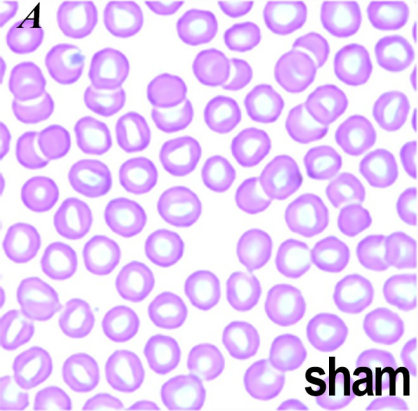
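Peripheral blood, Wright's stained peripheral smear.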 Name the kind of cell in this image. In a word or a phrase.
Erythrocyte.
